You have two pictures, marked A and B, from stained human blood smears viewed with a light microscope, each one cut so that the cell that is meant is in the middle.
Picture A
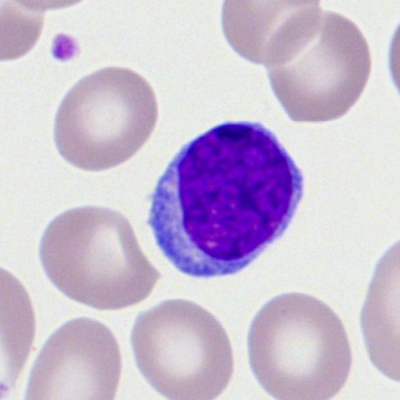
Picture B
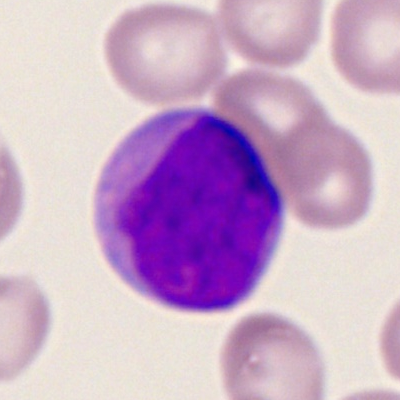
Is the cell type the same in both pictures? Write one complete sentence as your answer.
No. Picture A shows a lymphocyte, but picture B shows a myeloblast.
